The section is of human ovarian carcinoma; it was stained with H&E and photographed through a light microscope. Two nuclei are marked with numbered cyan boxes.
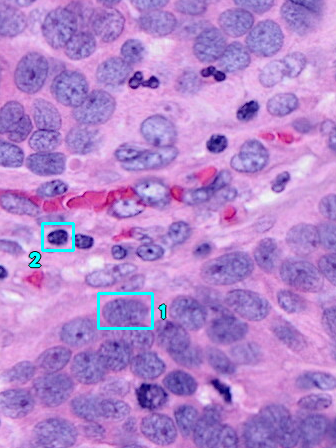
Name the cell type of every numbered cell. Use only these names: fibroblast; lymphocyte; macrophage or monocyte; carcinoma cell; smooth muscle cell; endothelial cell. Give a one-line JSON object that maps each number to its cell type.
{"1": "carcinoma cell", "2": "lymphocyte"}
